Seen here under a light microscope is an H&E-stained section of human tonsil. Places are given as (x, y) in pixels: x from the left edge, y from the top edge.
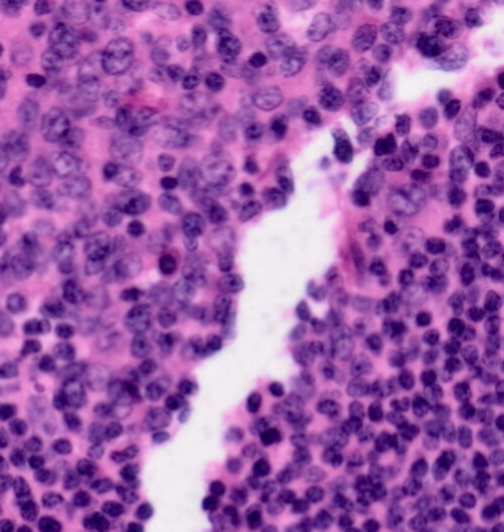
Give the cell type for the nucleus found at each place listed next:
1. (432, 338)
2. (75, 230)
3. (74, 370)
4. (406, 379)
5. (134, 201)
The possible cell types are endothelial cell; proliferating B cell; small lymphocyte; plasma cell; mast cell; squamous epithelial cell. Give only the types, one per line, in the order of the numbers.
small lymphocyte
proliferating B cell
proliferating B cell
small lymphocyte
proliferating B cell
